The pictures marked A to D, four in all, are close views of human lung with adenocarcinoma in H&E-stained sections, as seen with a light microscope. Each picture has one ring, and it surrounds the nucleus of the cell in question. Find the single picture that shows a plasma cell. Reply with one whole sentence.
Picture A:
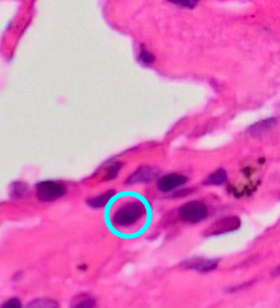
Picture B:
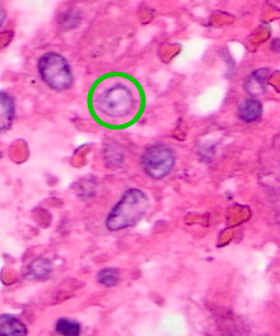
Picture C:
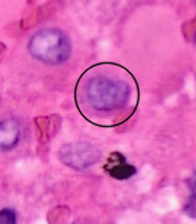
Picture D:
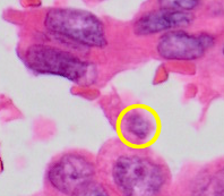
Picture A is the one that shows the plasma cell.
